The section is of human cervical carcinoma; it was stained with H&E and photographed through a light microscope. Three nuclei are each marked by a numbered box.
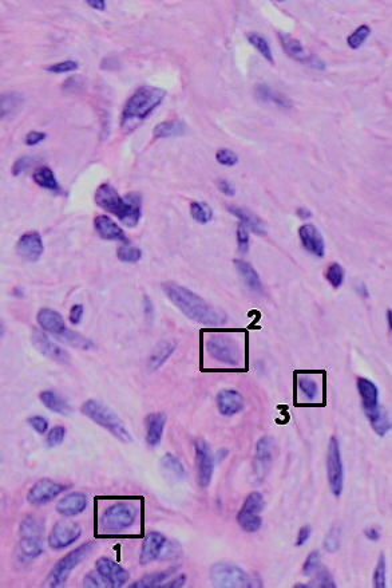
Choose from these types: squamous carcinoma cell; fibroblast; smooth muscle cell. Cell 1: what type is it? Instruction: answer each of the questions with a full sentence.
Regarding cell 1, this one is a smooth muscle cell.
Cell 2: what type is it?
The cell given label 2 is a smooth muscle cell.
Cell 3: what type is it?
Denoted by the label 3 in the section is a fibroblast.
